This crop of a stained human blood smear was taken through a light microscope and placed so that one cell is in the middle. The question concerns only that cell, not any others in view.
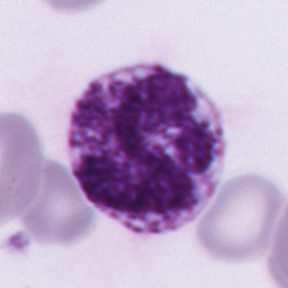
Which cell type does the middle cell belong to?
basophil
